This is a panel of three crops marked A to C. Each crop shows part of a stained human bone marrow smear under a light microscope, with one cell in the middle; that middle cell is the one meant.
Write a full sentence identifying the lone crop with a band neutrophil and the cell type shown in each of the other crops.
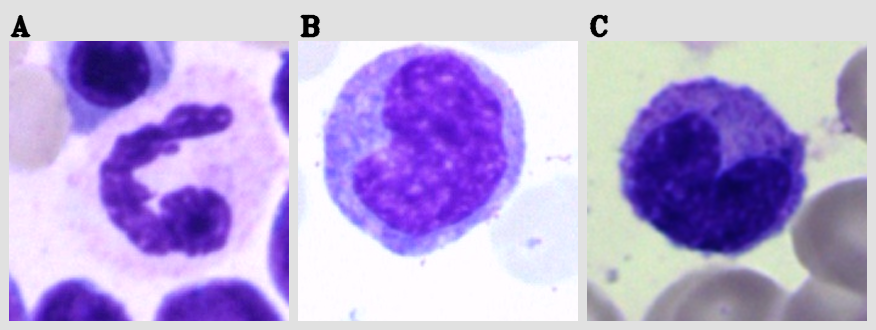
In the crop designated C, the cell is a band neutrophil, while crop A is a segmented neutrophil and crop B is a monocyte.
